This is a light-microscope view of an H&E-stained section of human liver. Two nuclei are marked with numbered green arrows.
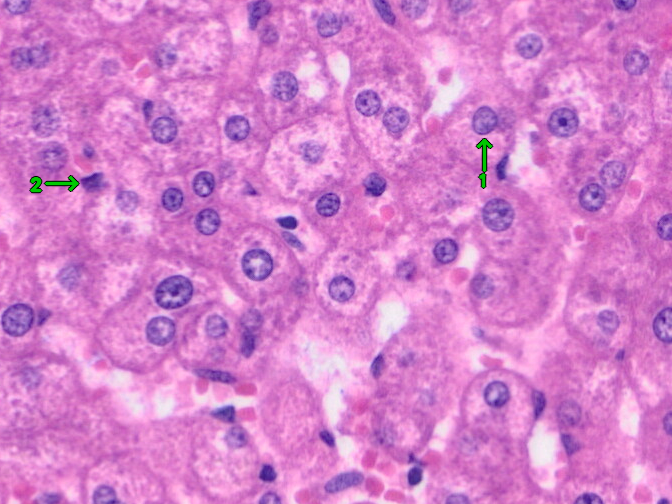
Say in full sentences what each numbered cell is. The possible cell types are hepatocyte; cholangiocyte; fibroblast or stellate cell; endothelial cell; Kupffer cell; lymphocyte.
Cell 1 is a hepatocyte and cell 2 is an endothelial cell.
